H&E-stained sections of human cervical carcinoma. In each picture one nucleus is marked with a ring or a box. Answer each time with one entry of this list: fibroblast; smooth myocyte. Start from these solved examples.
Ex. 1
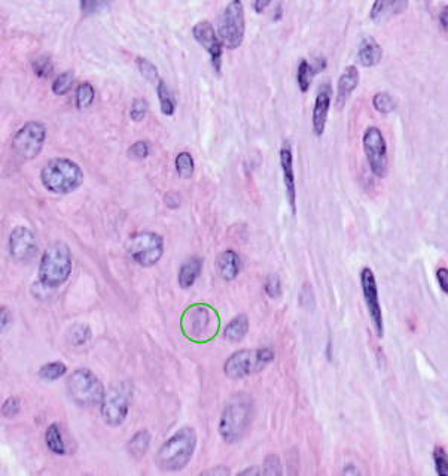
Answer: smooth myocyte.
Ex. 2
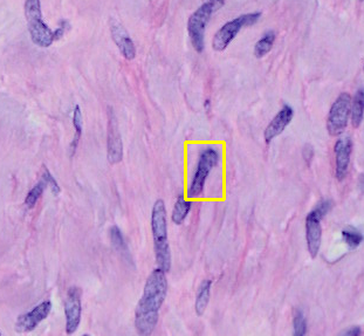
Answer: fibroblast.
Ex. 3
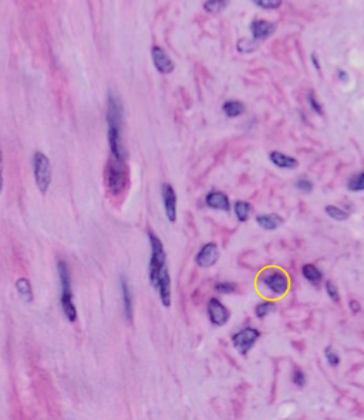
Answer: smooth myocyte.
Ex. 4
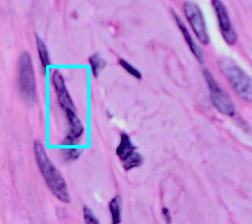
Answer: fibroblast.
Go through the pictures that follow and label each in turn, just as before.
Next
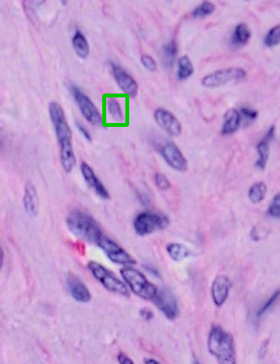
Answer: smooth myocyte.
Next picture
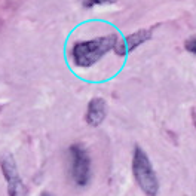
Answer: fibroblast.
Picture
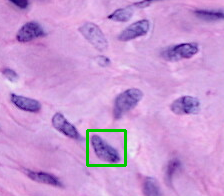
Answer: fibroblast.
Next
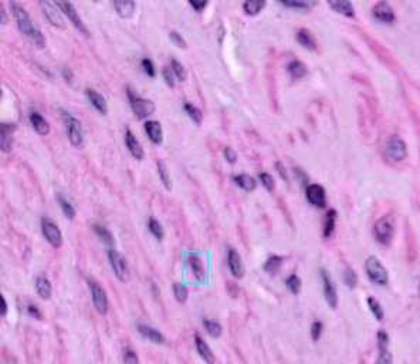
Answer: smooth myocyte.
